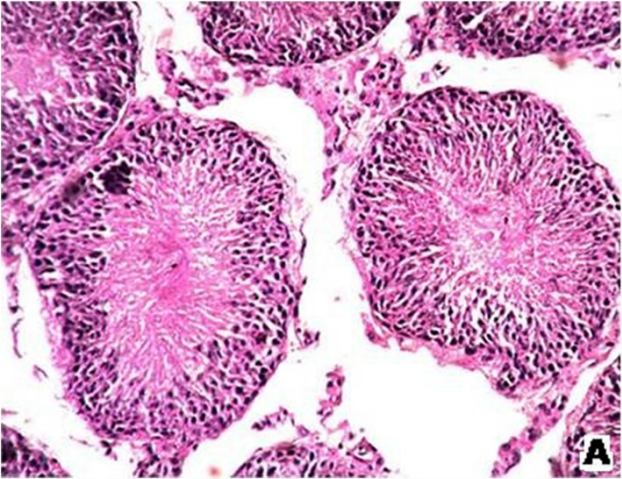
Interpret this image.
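Cross-sections of seminiferous tubules of the testis, each lined by a thick, many-layered germinal epithelium of cells with dark-purple nuclei that run from the base to the lumen. Toward the lumen the cells become elongated, and the centre of each tubule is filled with fine pink, thread-like tails arranged in a radiating pattern. Between the tubules lie loose interstitial spaces that hold only a few cells.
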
